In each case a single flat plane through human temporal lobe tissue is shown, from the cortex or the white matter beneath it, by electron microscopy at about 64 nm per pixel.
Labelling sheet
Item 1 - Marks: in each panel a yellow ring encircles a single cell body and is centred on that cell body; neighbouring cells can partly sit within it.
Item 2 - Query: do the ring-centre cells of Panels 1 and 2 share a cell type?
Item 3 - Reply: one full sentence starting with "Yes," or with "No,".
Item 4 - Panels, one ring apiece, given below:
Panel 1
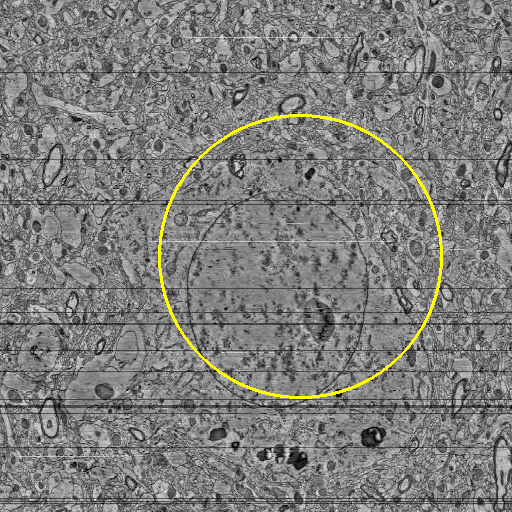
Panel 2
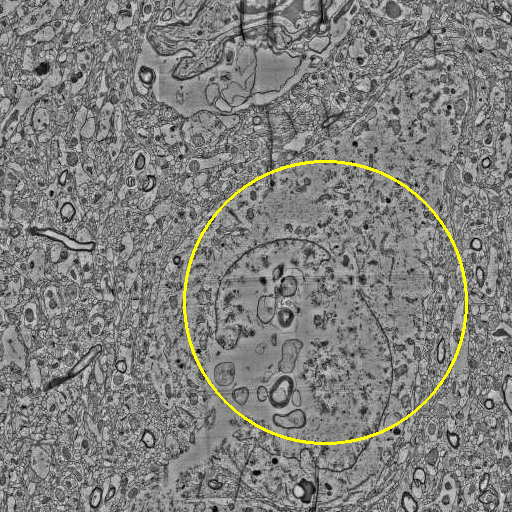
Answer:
Yes, Panel 1 and Panel 2 show one cell type at the centres of their rings.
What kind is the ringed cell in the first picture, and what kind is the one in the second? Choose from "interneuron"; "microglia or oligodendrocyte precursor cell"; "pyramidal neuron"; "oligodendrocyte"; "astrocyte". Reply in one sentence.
The cell at the ring centre is a pyramidal neuron in both pictures.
